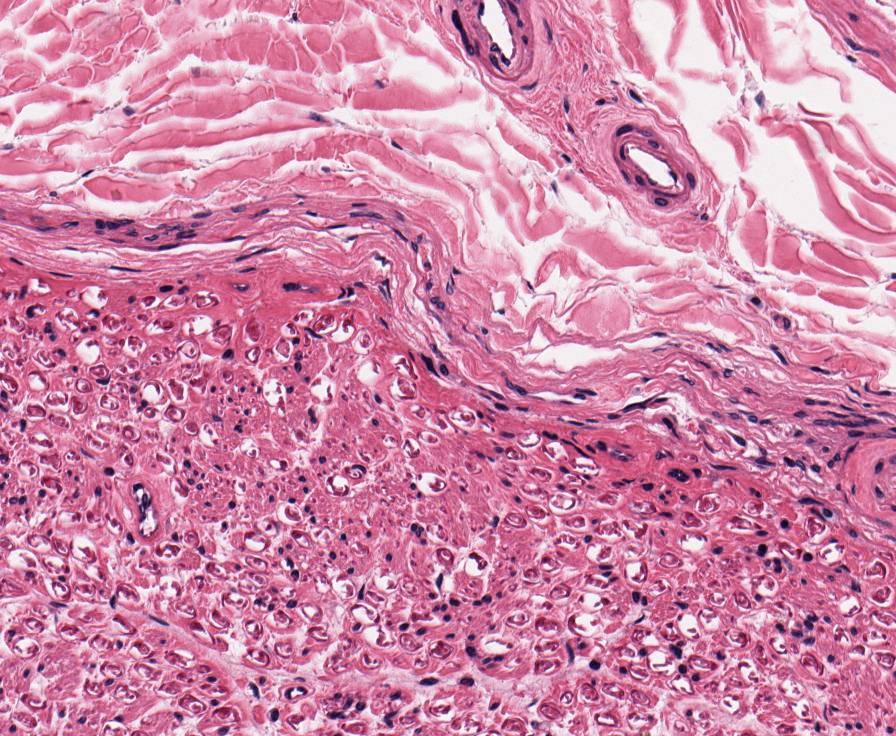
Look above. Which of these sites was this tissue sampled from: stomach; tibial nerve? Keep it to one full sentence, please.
By sampling the tibial nerve, this tissue was obtained.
